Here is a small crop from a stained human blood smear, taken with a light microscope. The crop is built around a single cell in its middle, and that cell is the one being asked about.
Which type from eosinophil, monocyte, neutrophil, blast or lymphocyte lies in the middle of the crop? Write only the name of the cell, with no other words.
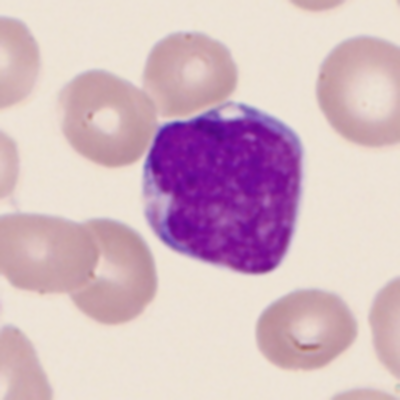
blast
